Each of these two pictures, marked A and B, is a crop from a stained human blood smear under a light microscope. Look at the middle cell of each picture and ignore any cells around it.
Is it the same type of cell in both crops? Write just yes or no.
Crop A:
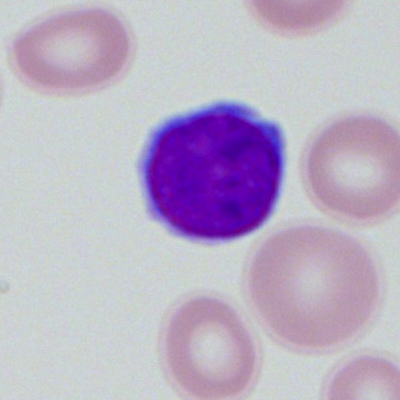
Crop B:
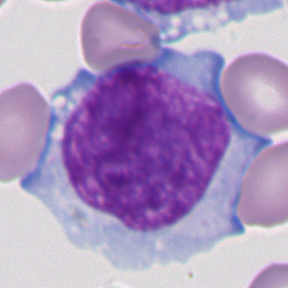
no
